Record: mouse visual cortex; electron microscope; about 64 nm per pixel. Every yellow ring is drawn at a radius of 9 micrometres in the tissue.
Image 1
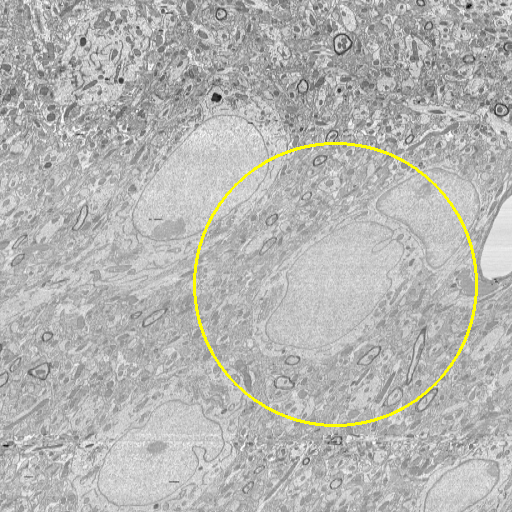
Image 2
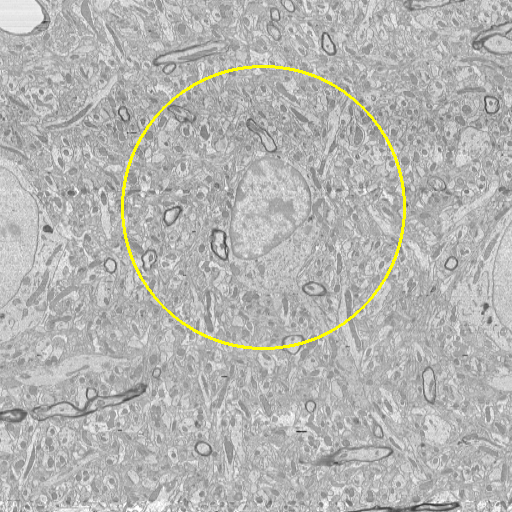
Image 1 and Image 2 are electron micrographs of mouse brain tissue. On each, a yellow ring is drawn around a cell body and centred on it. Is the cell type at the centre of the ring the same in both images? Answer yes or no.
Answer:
no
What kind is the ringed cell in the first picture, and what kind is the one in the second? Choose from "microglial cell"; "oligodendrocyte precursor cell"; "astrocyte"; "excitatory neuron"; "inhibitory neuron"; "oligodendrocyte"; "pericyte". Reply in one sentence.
The first cell is an excitatory neuron; the second is an oligodendrocyte.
